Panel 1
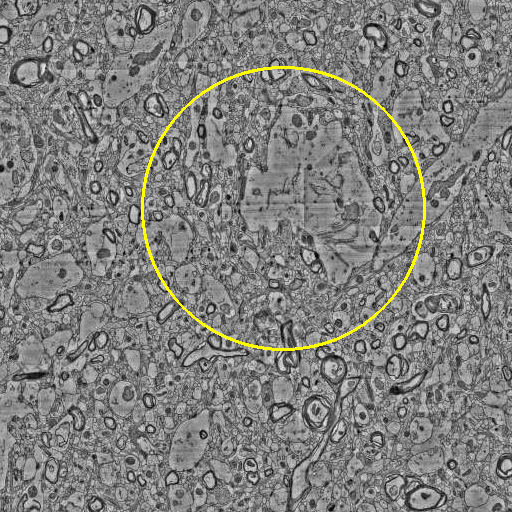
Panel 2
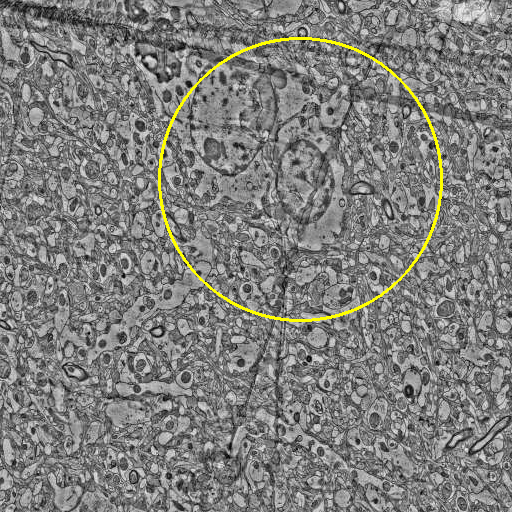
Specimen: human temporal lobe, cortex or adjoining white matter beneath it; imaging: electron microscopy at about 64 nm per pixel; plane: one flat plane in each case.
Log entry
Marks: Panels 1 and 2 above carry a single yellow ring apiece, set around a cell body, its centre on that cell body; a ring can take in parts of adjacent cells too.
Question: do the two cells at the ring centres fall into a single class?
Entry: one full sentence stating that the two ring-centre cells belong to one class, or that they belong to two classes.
The two ring-centre cells in Panels 1 and 2 belong to one class.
